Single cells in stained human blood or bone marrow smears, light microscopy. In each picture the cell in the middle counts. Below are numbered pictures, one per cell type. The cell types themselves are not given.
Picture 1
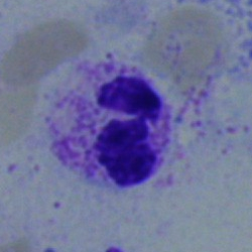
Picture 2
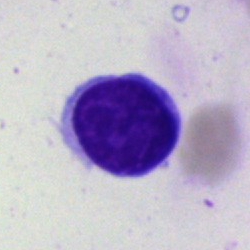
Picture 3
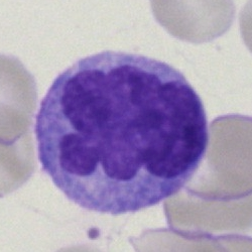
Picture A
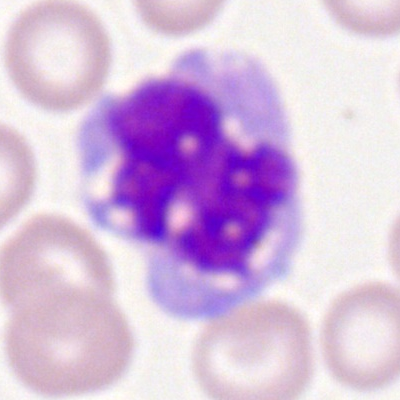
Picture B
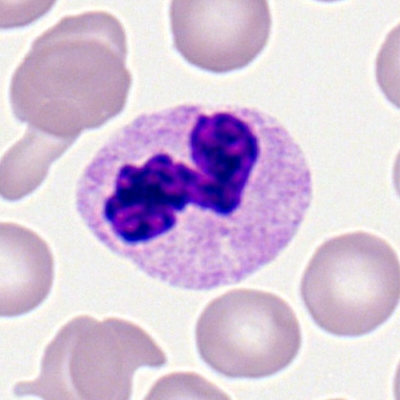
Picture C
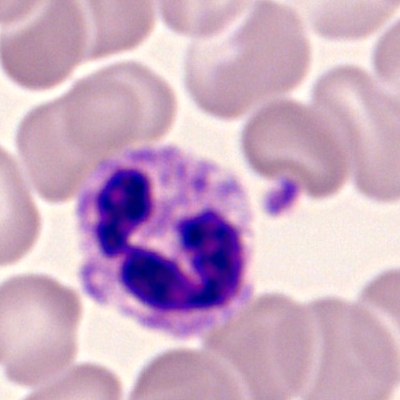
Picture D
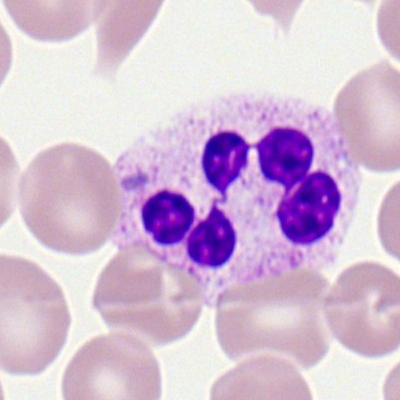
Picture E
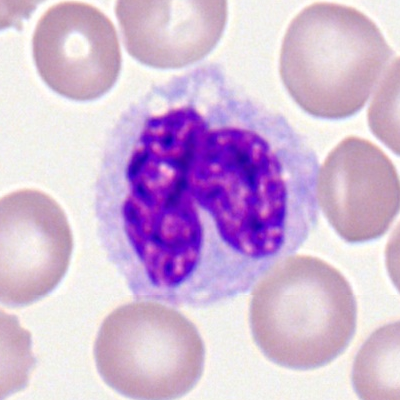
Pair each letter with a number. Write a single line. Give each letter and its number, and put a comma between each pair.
A 3, B 1, C 1, D 1, E 3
